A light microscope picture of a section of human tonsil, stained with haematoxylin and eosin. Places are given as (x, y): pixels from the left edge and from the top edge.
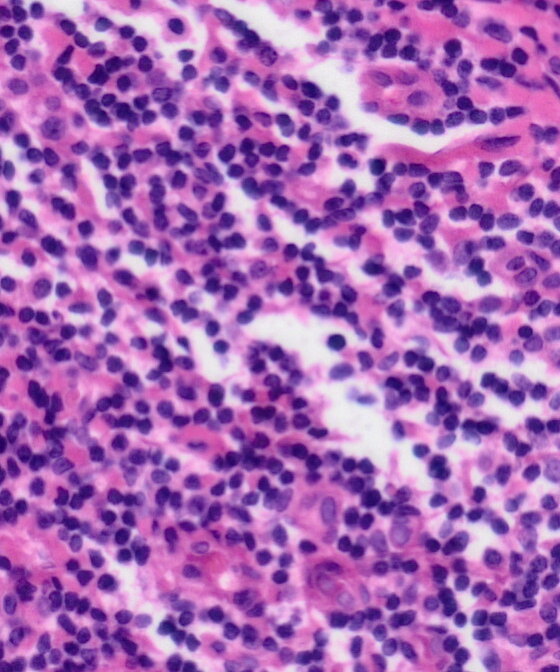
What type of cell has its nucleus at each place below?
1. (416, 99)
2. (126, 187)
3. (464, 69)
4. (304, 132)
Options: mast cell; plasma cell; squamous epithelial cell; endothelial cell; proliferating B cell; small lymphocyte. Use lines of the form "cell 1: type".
cell 1: endothelial cell
cell 2: small lymphocyte
cell 3: small lymphocyte
cell 4: small lymphocyte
